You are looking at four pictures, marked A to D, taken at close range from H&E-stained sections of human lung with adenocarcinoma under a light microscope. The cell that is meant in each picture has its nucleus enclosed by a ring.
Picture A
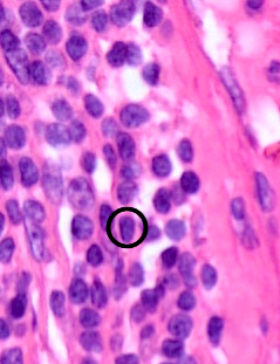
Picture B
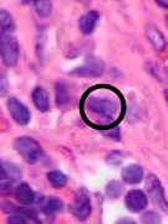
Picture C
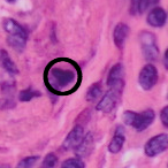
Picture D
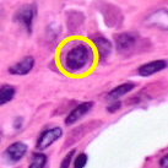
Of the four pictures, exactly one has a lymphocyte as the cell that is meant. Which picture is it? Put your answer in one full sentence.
The lymphocyte is the one in picture A.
